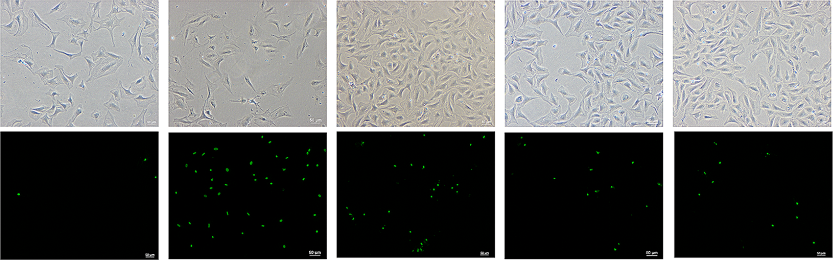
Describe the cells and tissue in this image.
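In the transmitted-light row, most cells are spindle-shaped to polygonal, with thin tapering extensions; in some fields they are sparse and widely spaced, and in others they are densely packed. In the dark fluorescence row below, the cells themselves cannot be seen, and each small bright green dot marks a single stained cell; the number of dots differs clearly from field to field.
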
